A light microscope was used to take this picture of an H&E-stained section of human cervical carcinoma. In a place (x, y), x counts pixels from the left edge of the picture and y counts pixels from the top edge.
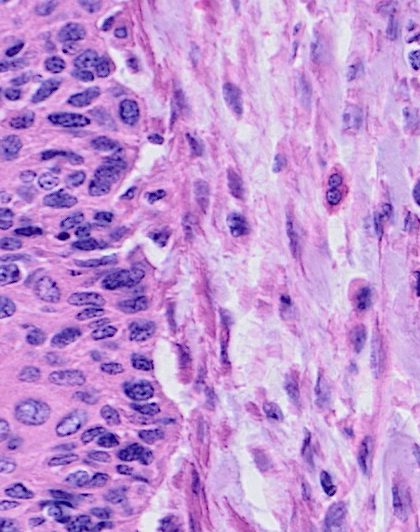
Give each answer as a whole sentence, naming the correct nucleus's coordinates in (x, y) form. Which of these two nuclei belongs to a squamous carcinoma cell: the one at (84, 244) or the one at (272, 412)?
The nucleus at (84, 244) is the one that belongs to a squamous carcinoma cell.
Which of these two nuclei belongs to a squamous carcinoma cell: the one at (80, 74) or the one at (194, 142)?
Identified as belonging to a squamous carcinoma cell is the nucleus at (80, 74).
